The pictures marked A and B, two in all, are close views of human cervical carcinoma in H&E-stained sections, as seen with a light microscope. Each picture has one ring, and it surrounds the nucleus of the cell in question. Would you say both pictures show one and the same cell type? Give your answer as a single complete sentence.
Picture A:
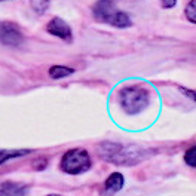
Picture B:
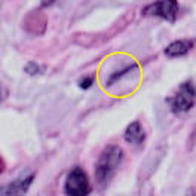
No, they differ: the cell is a lymphocyte in picture A and a fibroblast in picture B.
